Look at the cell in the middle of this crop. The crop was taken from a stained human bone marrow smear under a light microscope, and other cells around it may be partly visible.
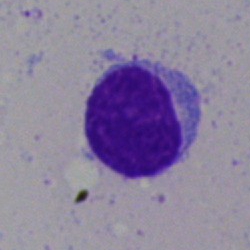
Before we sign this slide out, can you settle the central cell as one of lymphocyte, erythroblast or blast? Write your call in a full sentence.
The identification for the central cell is a lymphocyte.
